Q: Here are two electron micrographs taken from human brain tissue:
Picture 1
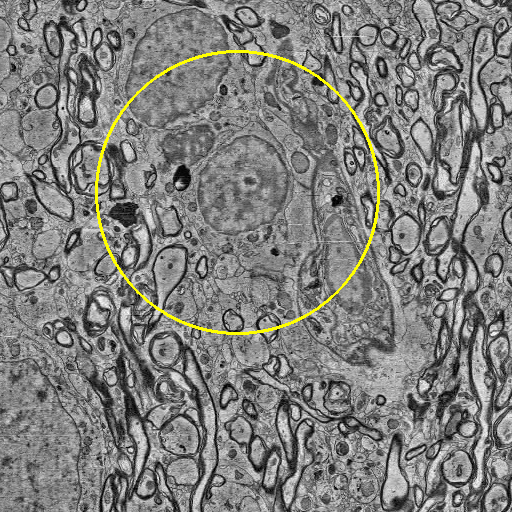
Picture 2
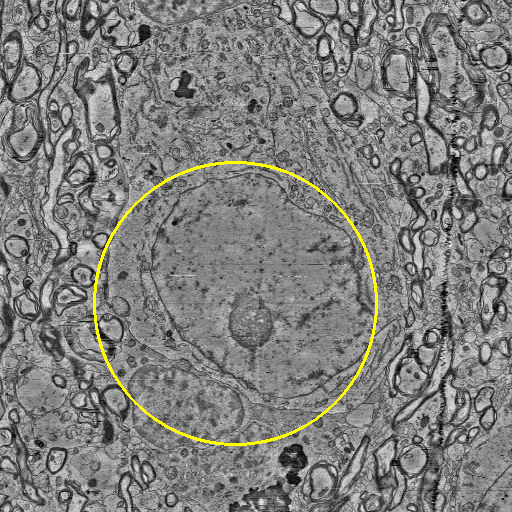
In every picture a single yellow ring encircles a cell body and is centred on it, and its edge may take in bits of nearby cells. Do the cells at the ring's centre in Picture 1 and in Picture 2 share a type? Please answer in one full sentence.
No, the cells at the ring's centre in Picture 1 and Picture 2 are of two types.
